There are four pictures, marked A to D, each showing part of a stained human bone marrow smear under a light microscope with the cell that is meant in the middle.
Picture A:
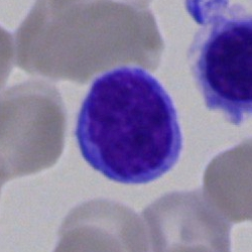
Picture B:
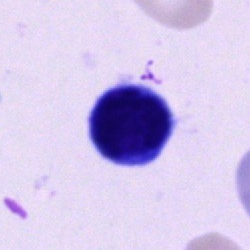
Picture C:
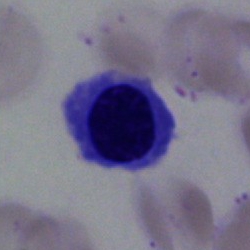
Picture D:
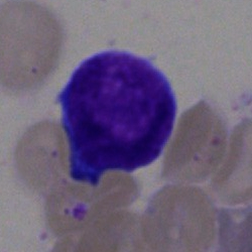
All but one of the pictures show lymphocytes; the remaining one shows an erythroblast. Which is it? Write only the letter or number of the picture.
C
